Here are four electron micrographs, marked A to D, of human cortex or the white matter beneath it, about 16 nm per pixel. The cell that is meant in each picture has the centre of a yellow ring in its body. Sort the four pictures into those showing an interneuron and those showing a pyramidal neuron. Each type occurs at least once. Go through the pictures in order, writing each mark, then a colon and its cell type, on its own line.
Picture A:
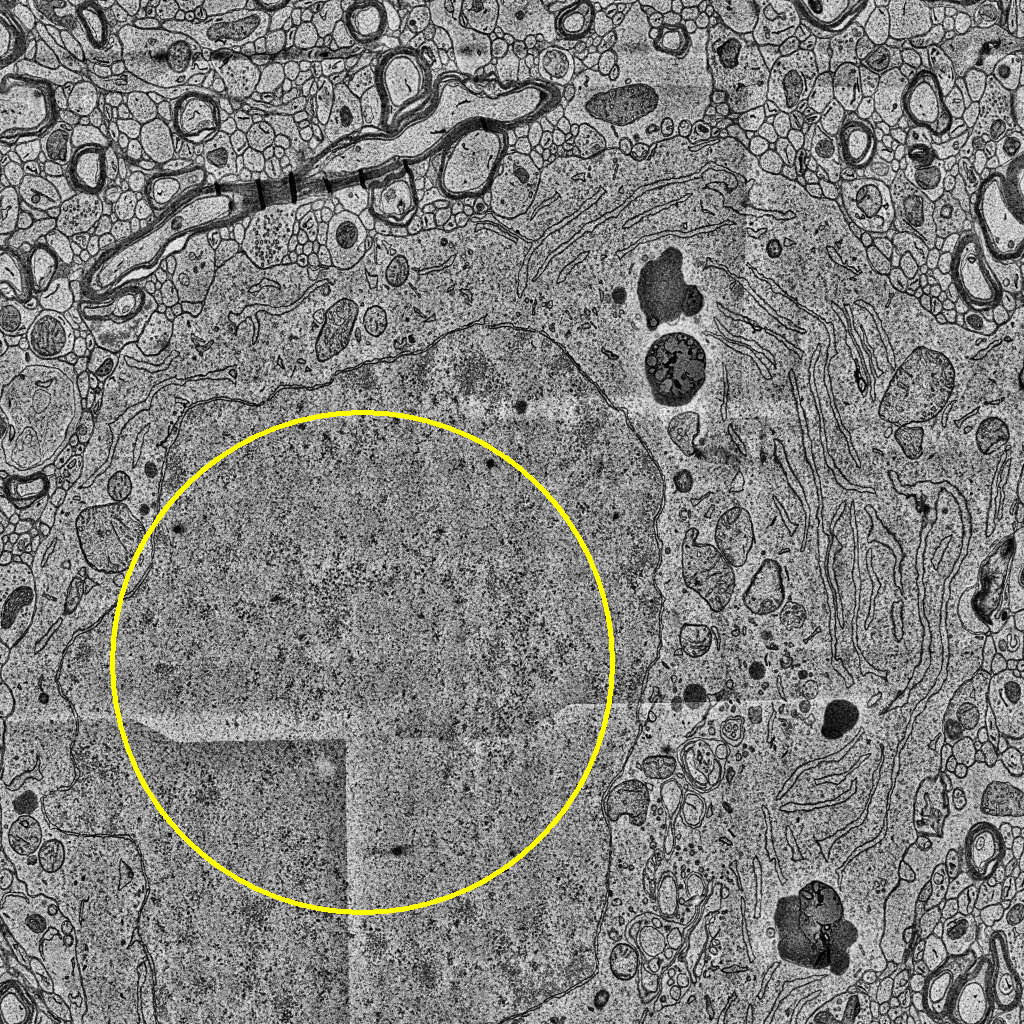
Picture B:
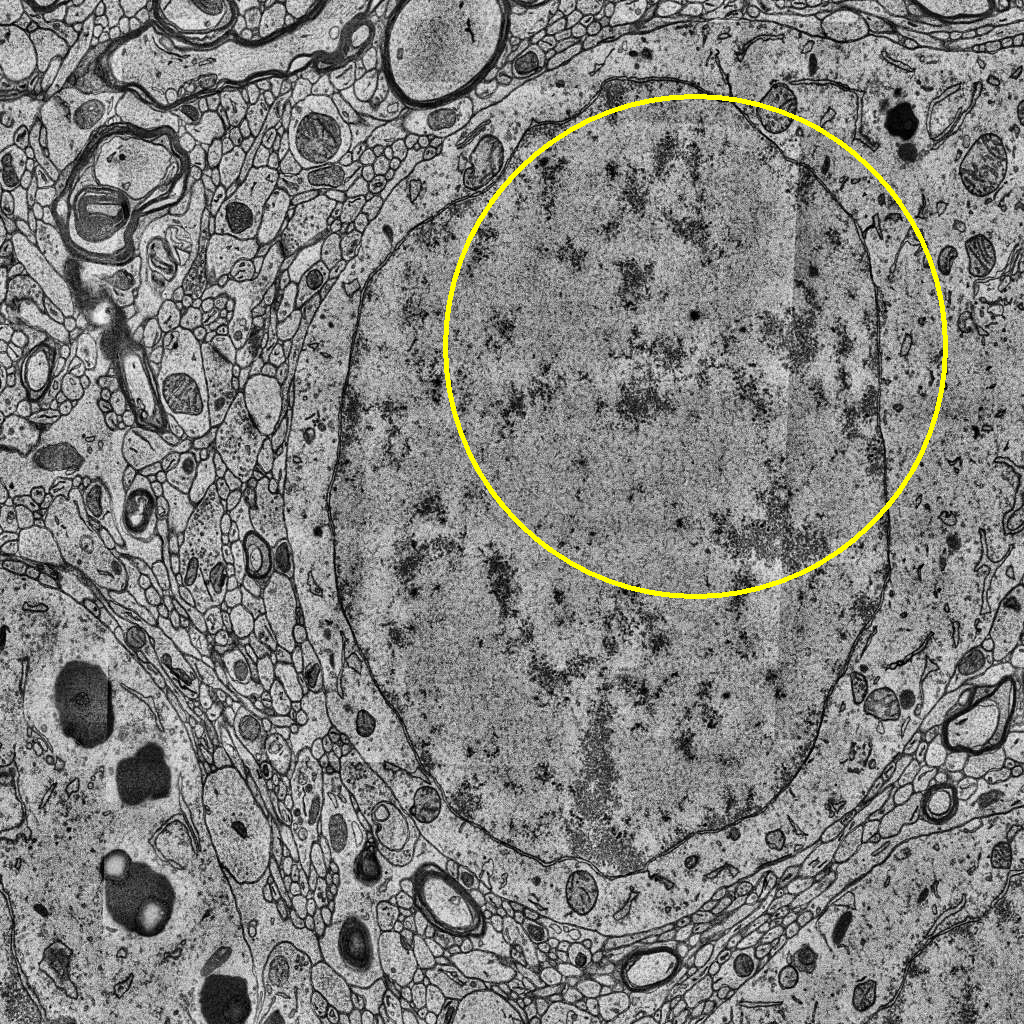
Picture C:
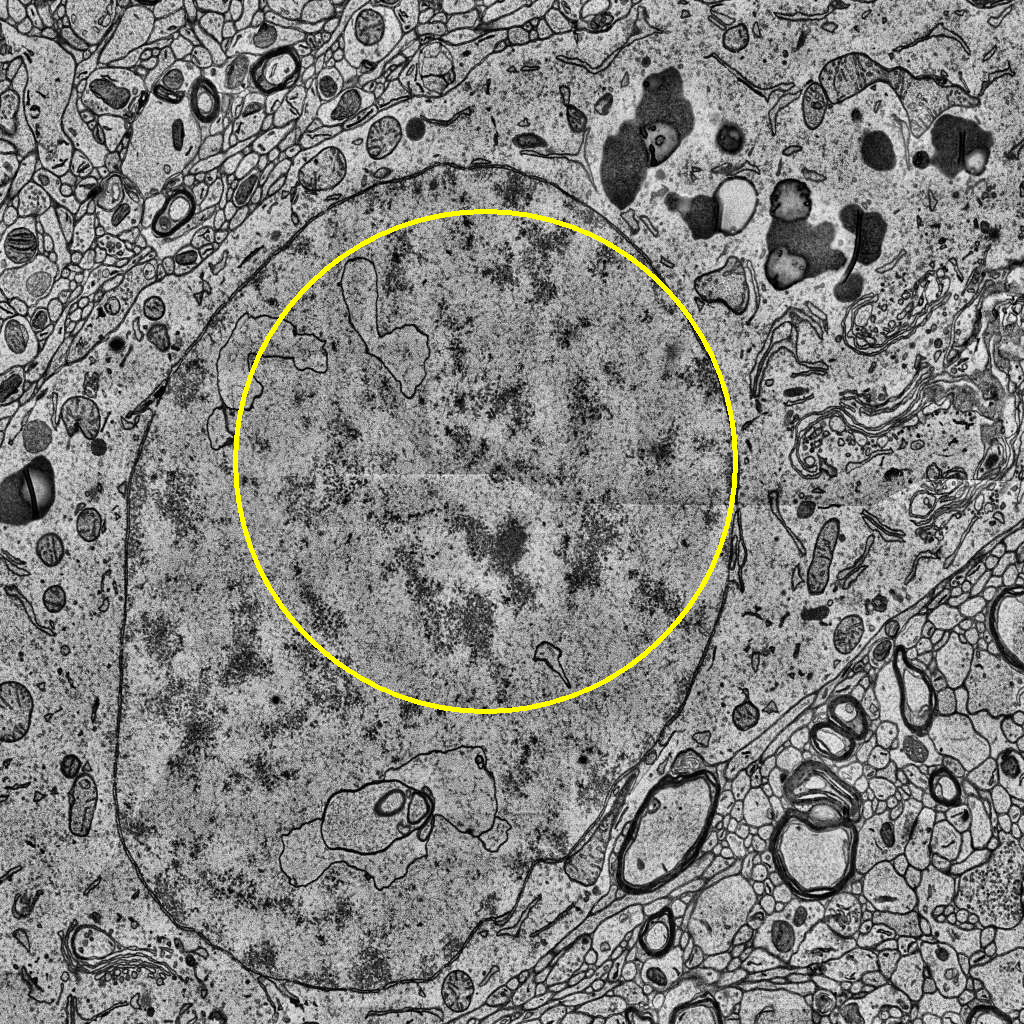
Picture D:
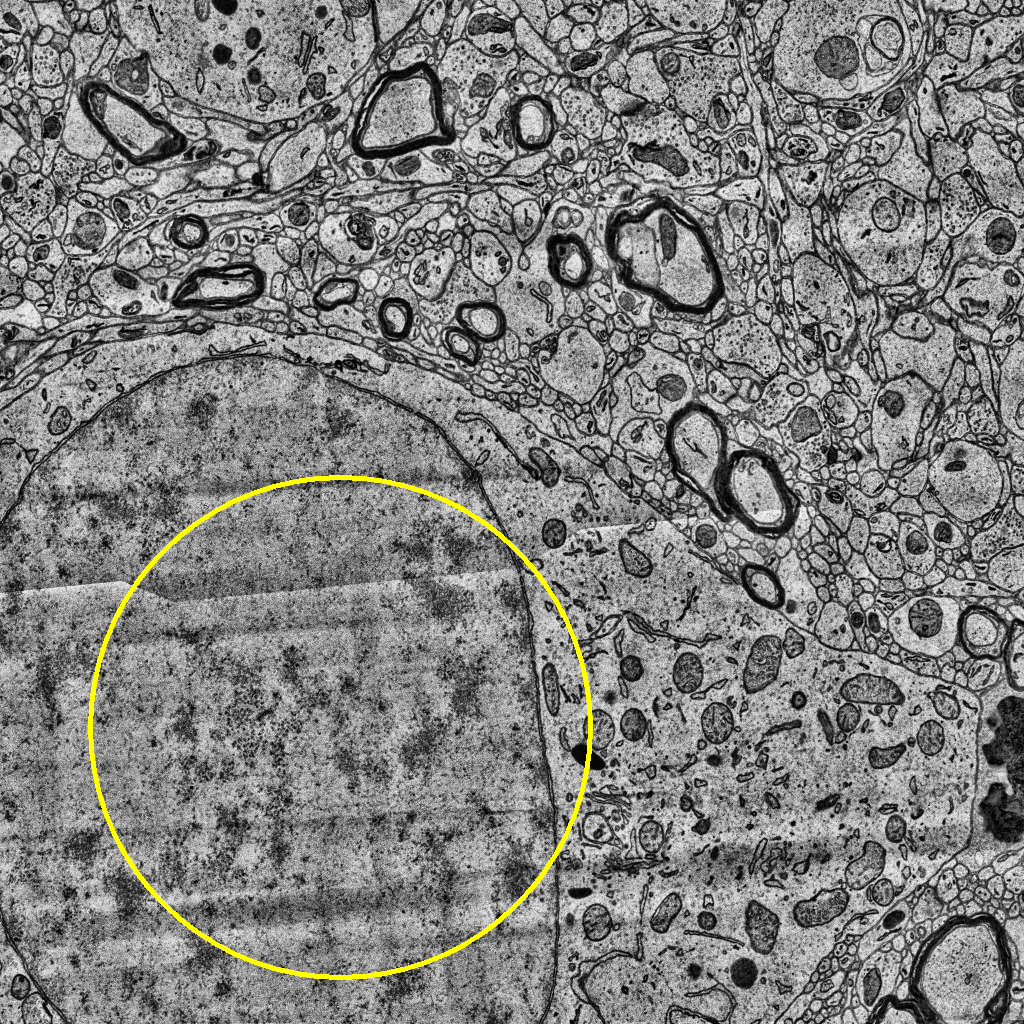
A: interneuron
B: pyramidal neuron
C: pyramidal neuron
D: pyramidal neuron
